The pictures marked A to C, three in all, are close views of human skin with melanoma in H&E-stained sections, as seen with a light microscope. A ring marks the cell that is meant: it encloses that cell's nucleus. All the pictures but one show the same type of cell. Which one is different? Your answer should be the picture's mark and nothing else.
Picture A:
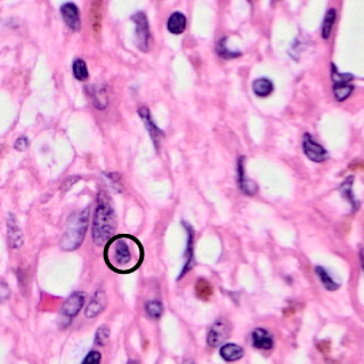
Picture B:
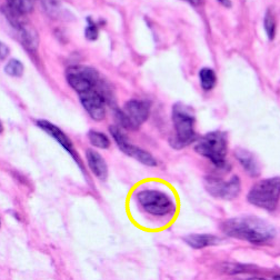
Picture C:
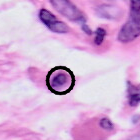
A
